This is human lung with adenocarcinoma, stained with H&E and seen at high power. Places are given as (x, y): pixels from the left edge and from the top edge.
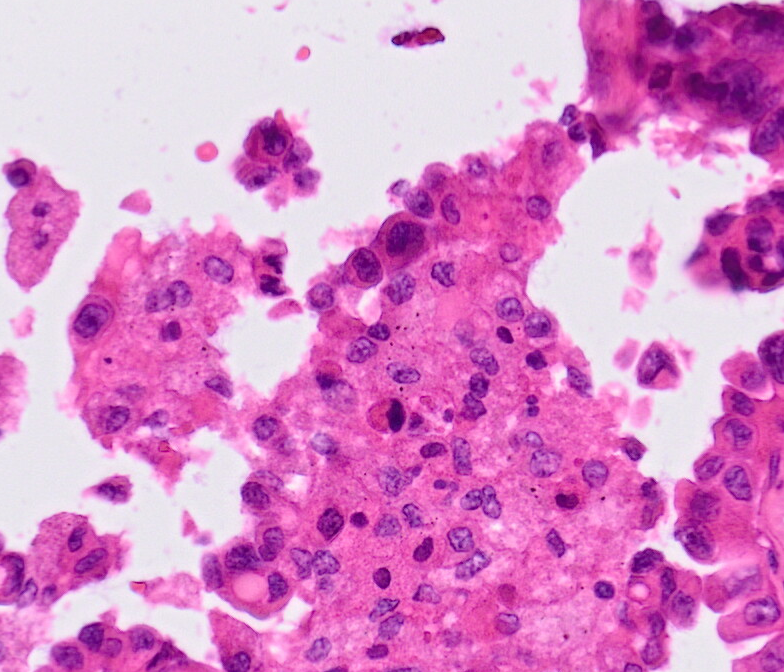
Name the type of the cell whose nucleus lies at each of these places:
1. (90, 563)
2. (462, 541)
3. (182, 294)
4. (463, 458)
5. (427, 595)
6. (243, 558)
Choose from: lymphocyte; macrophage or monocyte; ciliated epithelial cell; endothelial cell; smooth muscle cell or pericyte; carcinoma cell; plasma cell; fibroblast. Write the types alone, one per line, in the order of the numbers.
carcinoma cell
macrophage or monocyte
macrophage or monocyte
macrophage or monocyte
macrophage or monocyte
carcinoma cell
